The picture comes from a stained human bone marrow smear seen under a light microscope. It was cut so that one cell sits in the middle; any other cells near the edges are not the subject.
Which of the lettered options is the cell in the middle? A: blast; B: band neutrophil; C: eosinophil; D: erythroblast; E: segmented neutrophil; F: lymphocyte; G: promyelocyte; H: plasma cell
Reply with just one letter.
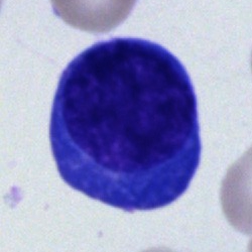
H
